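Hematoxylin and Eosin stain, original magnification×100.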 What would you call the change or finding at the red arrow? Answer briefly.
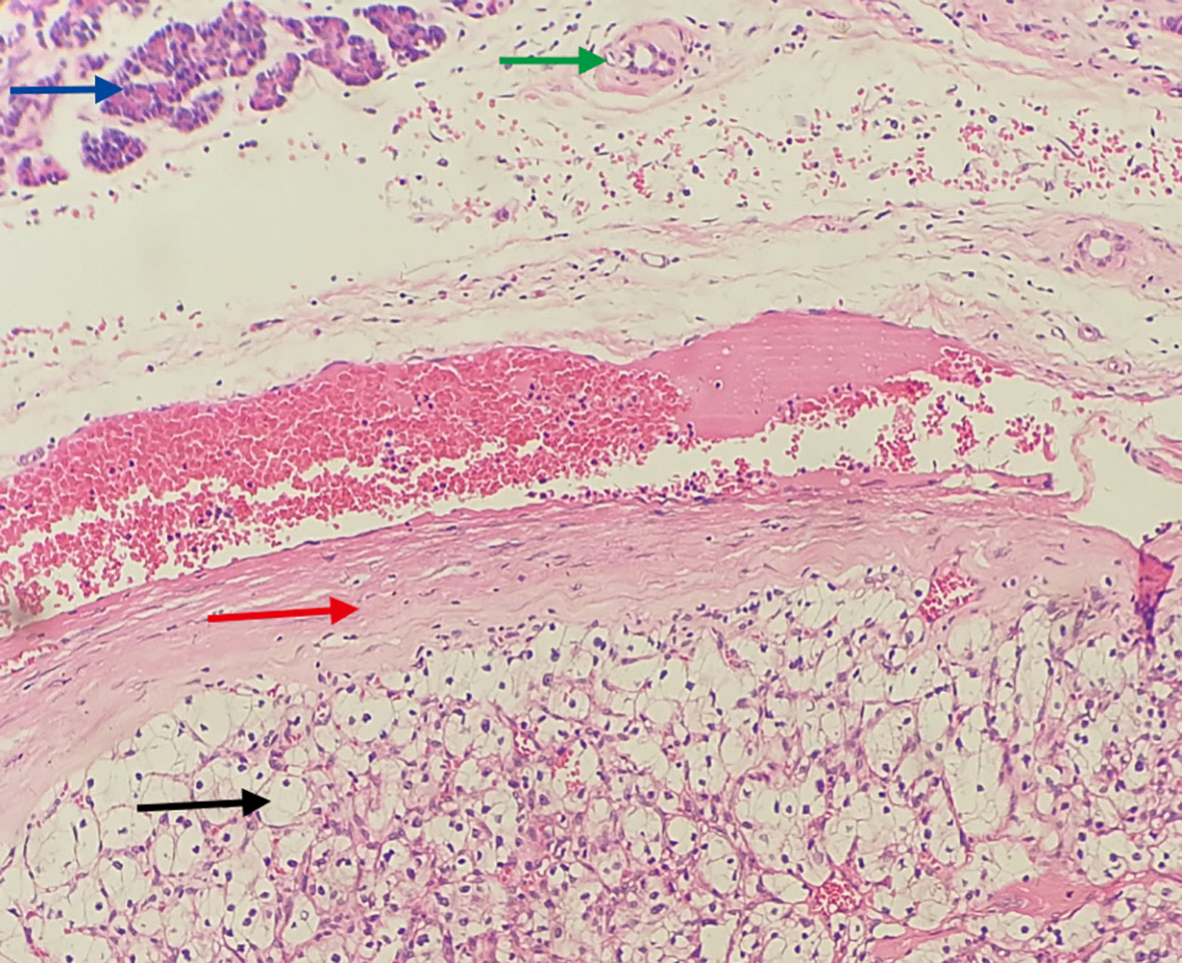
Fibrous tissue hyperplasia forming a pseudocapsule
